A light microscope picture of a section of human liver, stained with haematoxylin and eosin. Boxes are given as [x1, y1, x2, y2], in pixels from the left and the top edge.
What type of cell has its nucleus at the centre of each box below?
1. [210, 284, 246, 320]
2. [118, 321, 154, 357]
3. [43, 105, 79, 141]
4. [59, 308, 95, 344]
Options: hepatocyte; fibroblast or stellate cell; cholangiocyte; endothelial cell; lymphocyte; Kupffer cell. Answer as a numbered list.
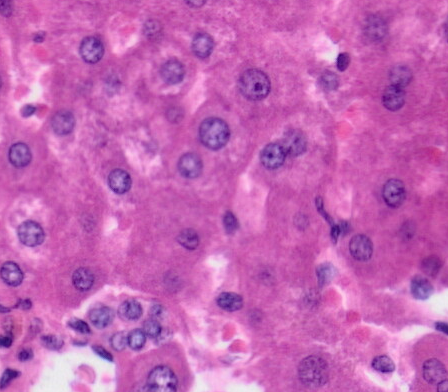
1. fibroblast or stellate cell
2. cholangiocyte
3. hepatocyte
4. fibroblast or stellate cell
